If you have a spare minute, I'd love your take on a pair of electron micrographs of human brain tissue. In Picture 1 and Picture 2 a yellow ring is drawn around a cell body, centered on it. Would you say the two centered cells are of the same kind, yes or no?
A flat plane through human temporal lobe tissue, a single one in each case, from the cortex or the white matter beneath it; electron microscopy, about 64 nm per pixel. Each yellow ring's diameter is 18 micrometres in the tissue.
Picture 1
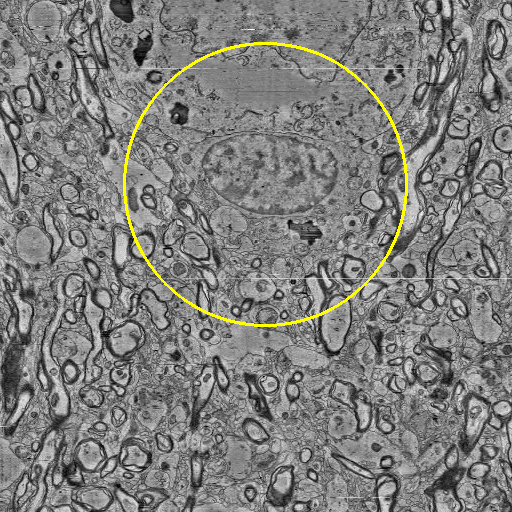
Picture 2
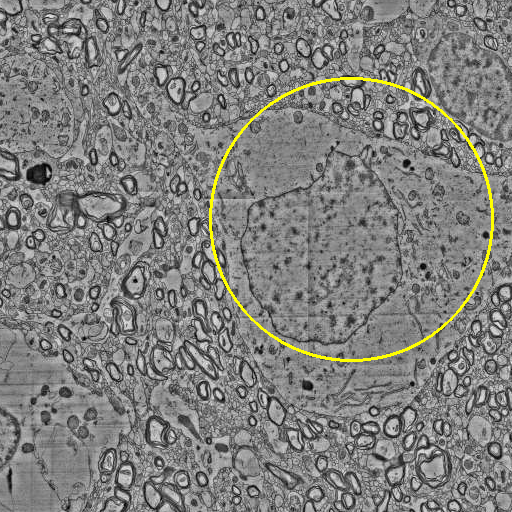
no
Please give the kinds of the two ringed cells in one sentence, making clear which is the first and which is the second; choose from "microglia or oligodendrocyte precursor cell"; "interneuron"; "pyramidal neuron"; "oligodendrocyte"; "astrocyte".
In the second picture the ringed cell is a pyramidal neuron; in the first it is an oligodendrocyte.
